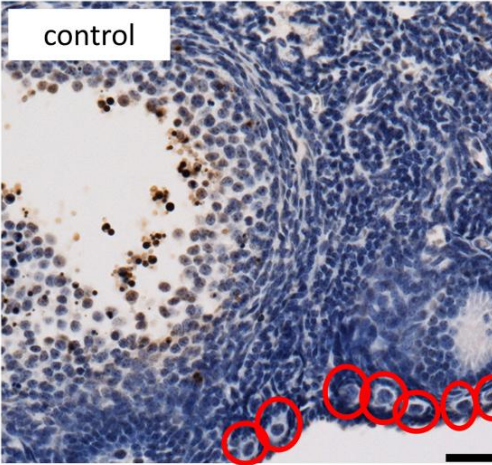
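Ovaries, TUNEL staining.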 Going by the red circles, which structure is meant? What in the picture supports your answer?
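Small round units lie in a row just beneath the ovarian surface. Each holds a single rounded cell with a pale nucleus, wrapped by a thin layer of flattened cells. The circled units are blue, without brown nuclei.
Answer: primordial follicles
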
